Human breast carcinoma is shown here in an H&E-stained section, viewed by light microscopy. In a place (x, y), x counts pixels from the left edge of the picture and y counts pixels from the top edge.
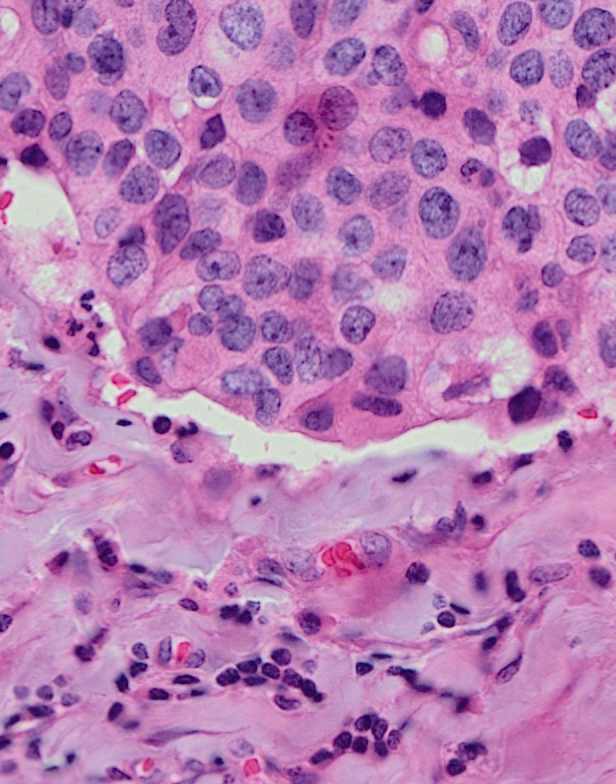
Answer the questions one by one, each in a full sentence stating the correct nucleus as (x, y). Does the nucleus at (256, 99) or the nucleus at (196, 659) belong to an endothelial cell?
Of the two nuclei, the one at (196, 659) belongs to an endothelial cell.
